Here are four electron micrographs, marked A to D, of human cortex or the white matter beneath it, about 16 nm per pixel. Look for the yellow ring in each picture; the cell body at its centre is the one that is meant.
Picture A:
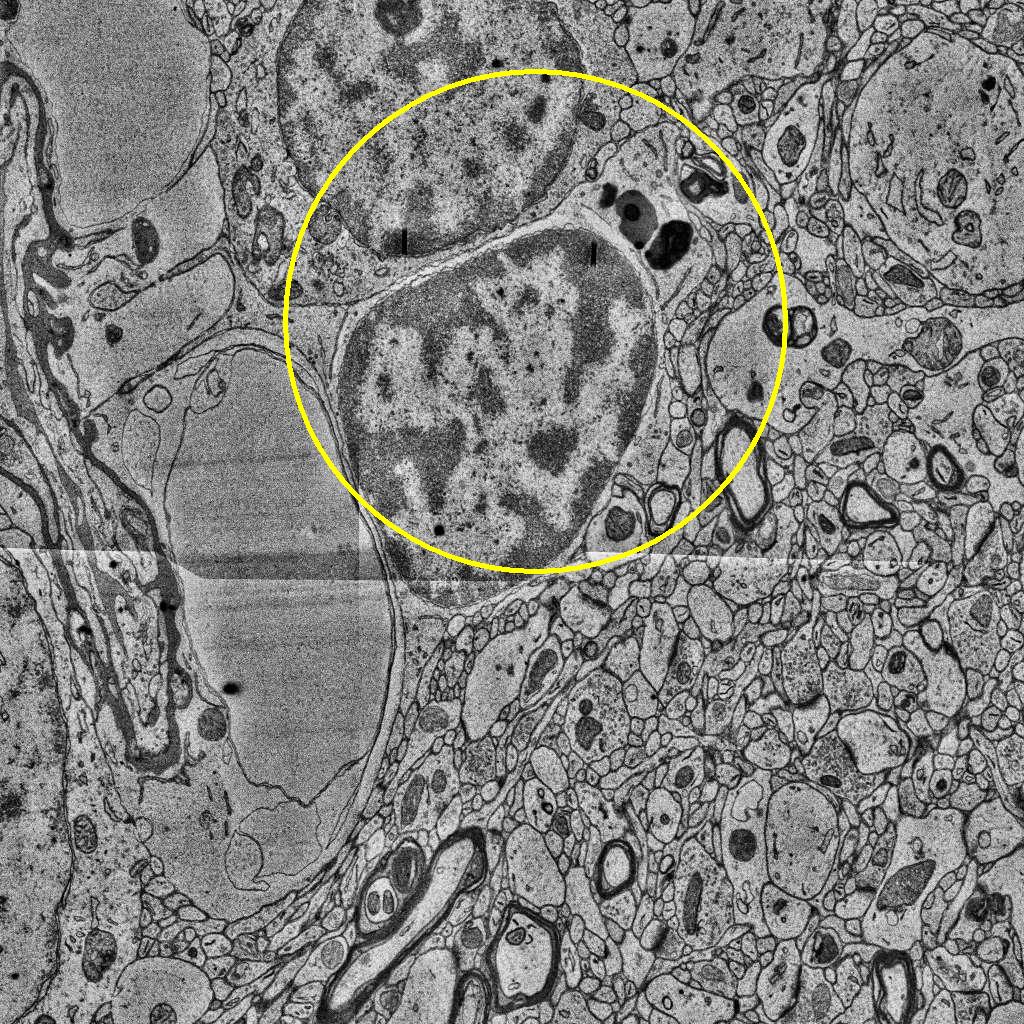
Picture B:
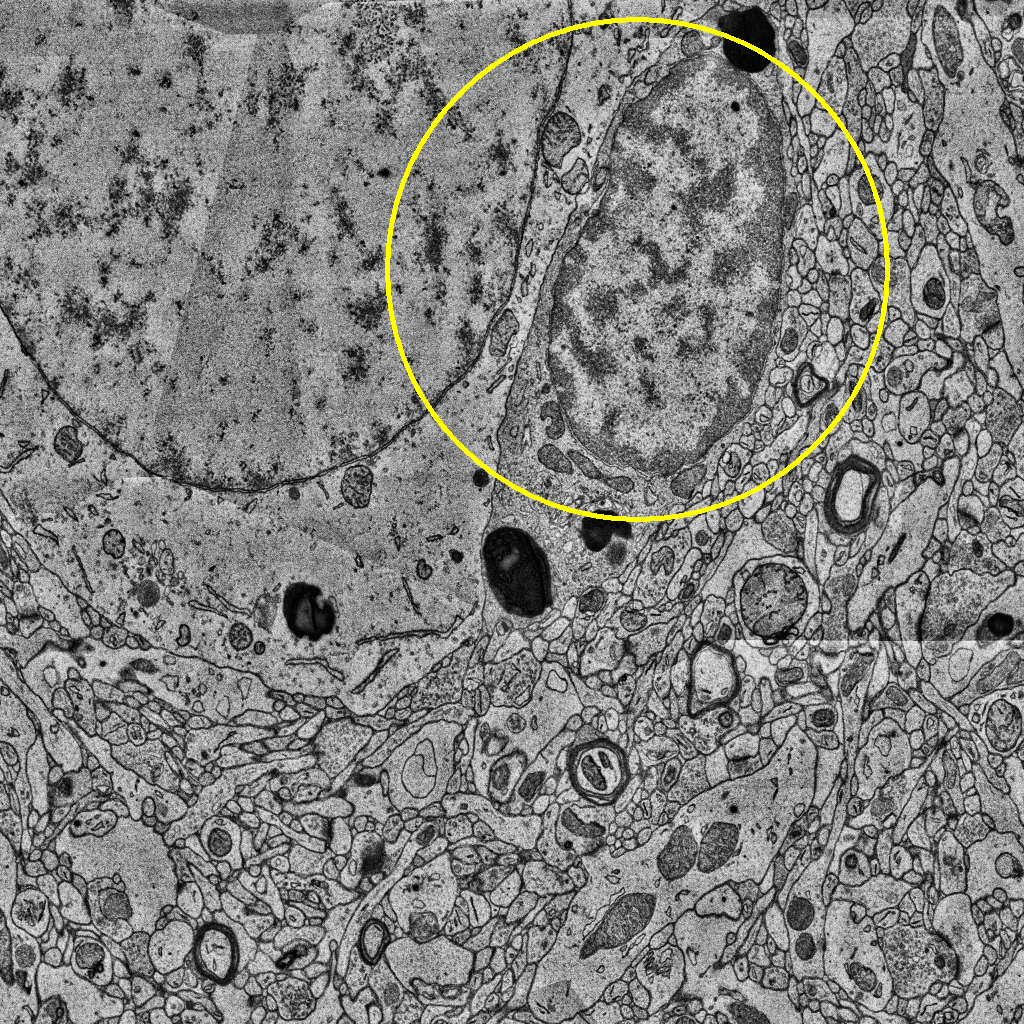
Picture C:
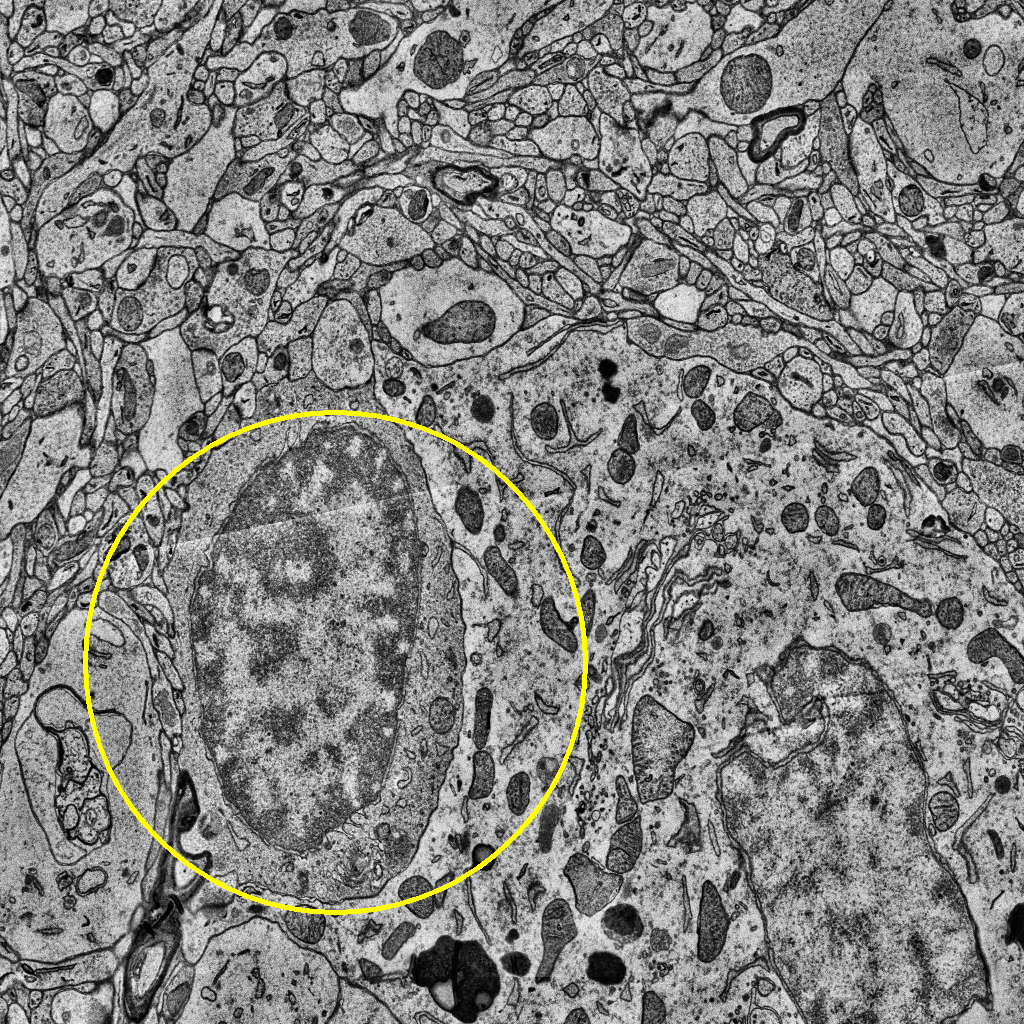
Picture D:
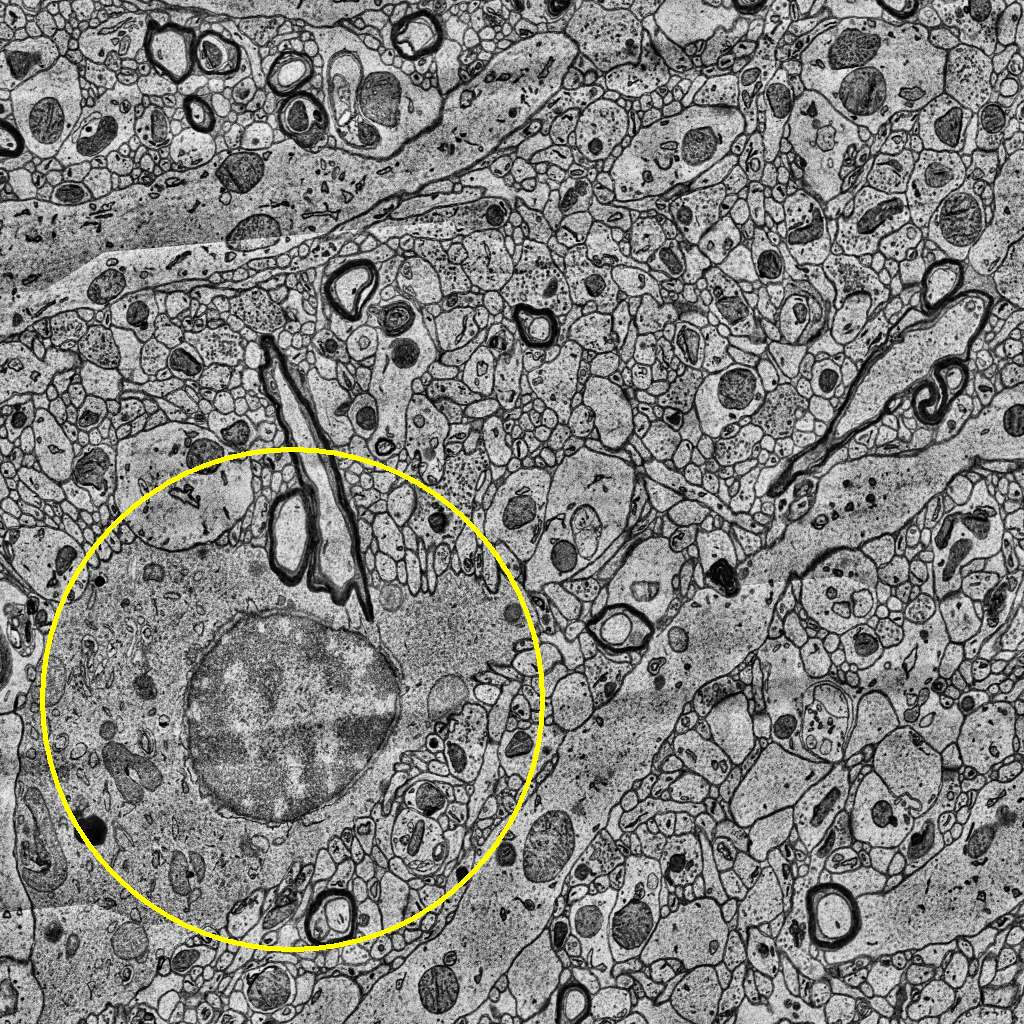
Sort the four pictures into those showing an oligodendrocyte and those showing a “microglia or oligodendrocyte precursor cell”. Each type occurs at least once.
Pictures B, C and D show oligodendrocytes, while picture A shows a “microglia or oligodendrocyte precursor cell”.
